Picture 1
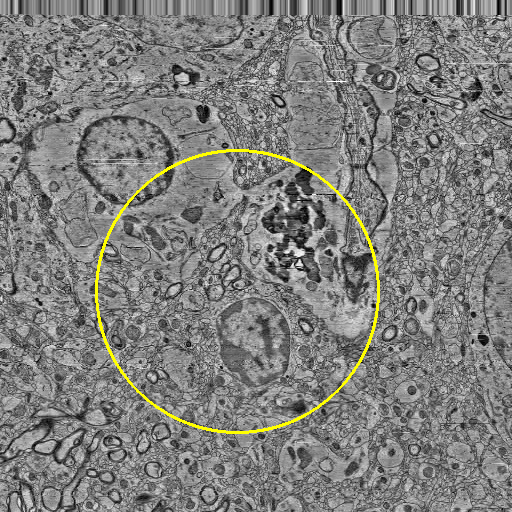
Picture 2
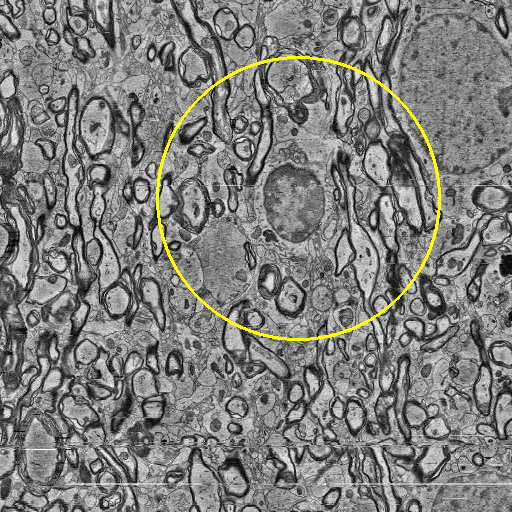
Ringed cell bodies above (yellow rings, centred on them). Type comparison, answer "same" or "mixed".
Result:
same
